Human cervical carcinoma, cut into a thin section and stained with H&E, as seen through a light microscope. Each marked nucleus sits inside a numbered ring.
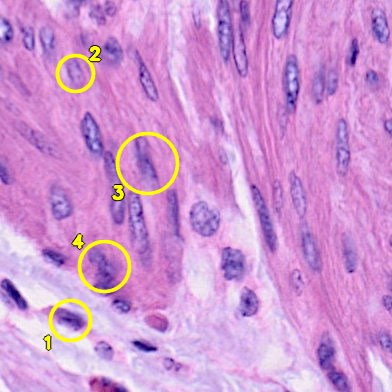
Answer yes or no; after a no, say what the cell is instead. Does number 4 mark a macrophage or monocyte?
No, it is a smooth muscle cell.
